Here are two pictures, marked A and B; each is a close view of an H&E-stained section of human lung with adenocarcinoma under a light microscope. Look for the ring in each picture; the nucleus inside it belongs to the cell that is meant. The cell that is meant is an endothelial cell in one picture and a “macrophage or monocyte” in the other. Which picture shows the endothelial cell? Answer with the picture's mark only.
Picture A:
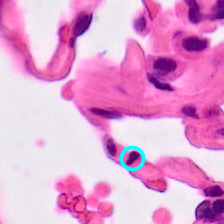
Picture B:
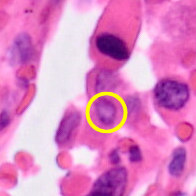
A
